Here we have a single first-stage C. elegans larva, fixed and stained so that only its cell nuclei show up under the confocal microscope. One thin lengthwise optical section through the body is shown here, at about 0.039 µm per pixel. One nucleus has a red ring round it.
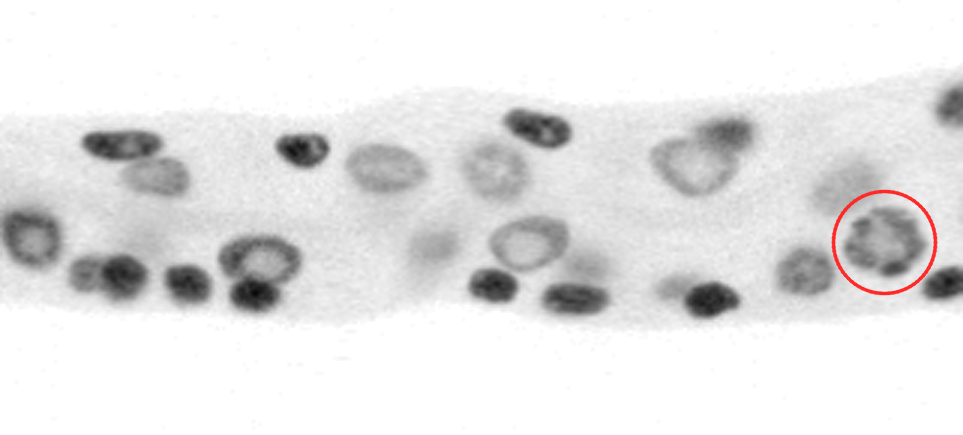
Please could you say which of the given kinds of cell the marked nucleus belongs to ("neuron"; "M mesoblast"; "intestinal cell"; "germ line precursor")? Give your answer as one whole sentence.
The marked cell is a germ line precursor.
